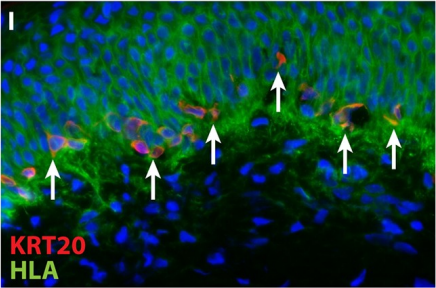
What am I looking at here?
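A stratified epithelium fills the upper part, its cells outlined in green membranes with blue oval nuclei, elongated and palisaded near the base and more rounded higher up. Along the lower border, where the epithelium meets a looser tissue with scattered nuclei, lies a row of single cells with red cytoplasm around blue nuclei, some rounded and some angular. These red cells sit among the basal cells of the epidermis, as Merkel cells do, spaced along the length of the basal layer.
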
